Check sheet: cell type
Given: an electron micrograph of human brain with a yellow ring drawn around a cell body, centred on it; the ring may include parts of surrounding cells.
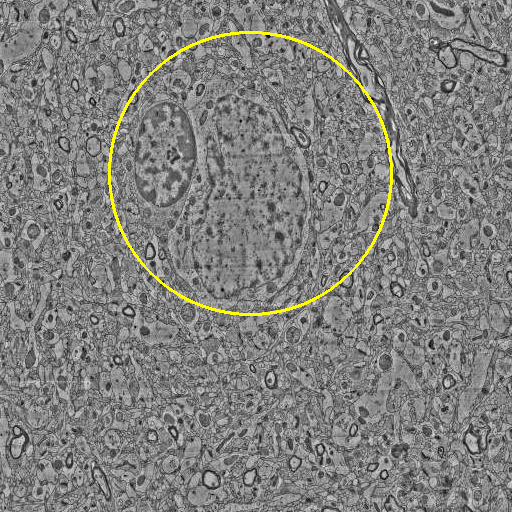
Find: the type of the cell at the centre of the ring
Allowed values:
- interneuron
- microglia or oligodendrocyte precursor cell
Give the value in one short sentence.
Here the ringed cell is an interneuron.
